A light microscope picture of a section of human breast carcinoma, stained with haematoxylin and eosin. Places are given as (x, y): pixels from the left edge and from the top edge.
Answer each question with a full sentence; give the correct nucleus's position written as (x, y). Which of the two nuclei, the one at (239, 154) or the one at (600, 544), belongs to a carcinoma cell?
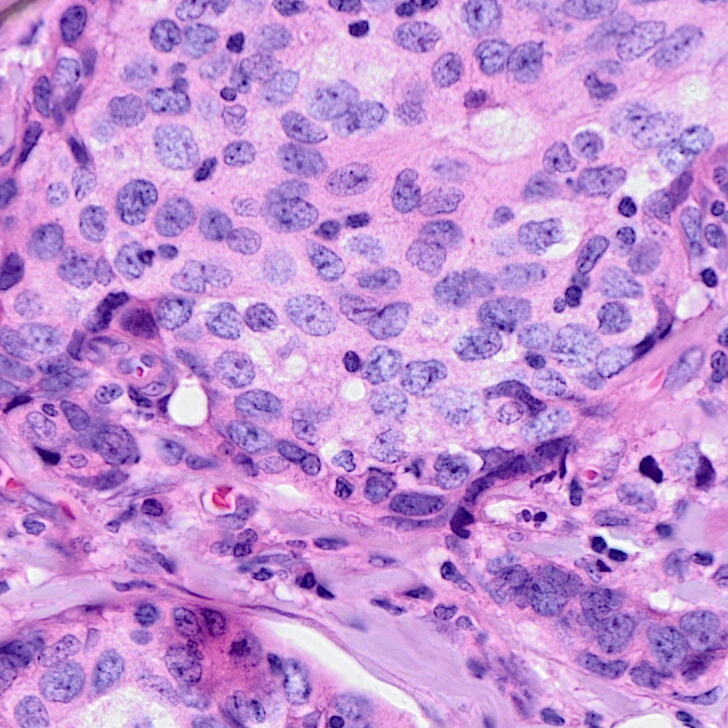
Here the nucleus at (239, 154) is the one that belongs to a carcinoma cell.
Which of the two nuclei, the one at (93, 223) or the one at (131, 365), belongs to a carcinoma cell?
The nucleus at (93, 223) is attributed to a carcinoma cell, unlike the other nucleus.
